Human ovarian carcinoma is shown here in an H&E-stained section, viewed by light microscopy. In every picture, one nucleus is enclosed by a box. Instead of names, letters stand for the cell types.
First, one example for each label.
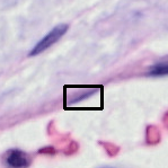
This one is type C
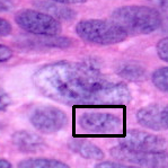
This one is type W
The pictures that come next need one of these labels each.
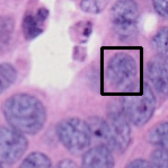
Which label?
type W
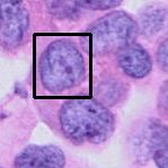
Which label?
type W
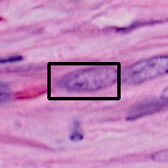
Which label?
type C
